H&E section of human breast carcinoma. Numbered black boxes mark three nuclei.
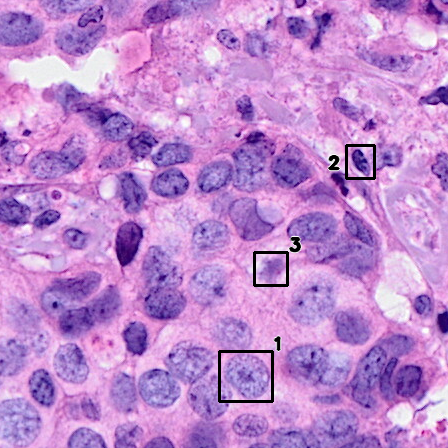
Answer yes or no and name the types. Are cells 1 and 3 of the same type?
Yes, both are carcinoma cells.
